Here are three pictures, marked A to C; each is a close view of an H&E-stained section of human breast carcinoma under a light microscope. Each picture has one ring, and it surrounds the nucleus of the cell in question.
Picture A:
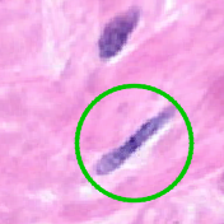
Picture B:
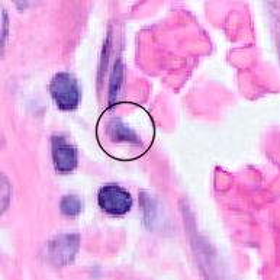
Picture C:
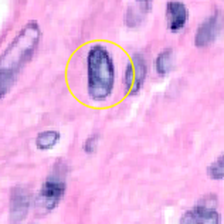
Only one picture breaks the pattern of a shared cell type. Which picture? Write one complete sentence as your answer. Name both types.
All pictures except A show endothelial cells; picture A shows a fibroblast.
